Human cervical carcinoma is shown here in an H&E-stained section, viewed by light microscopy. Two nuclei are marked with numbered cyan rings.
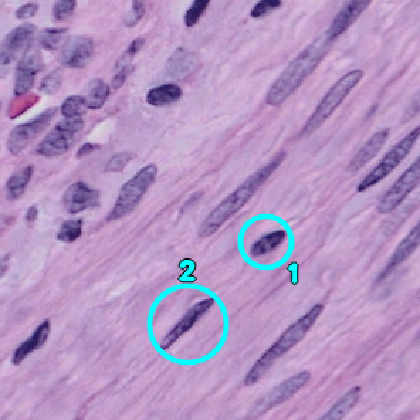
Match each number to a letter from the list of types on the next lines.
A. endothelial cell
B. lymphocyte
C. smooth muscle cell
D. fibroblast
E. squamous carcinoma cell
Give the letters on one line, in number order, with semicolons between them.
B; D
